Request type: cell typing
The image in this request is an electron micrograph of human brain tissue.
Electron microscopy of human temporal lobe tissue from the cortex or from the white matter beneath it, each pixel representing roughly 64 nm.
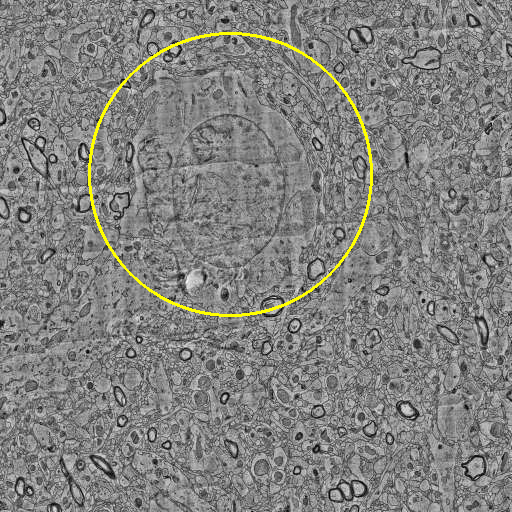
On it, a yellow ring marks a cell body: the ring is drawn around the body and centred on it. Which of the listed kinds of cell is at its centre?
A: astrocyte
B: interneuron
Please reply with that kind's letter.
A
